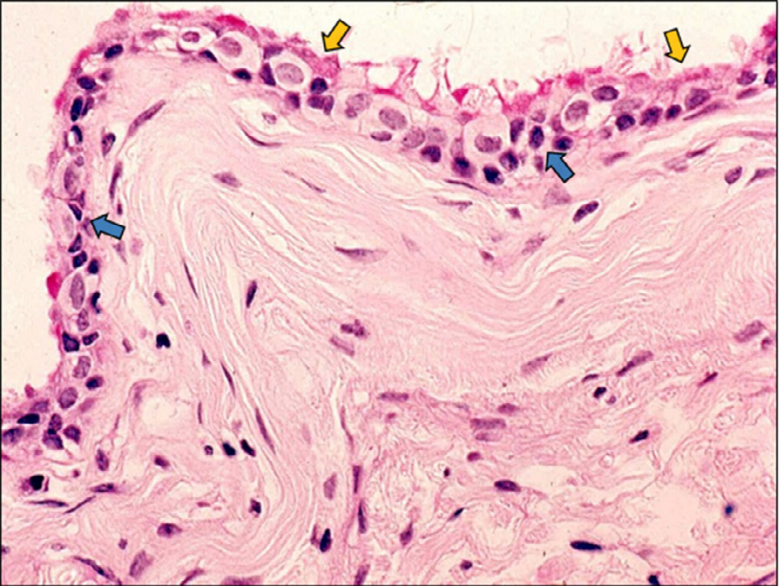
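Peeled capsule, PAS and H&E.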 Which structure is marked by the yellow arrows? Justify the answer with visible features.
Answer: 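Mucoid material. Magenta-staining material lies along the luminal surface of the lining. Pale wispy material extends from the surface.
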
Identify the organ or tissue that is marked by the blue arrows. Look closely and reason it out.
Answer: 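A thin epithelial layer lines the surface above loose fibrous tissue. Nuclei sit at several different heights within the layer. Fine hair-like projections rise from the free surface.
Answer: pseudostratified ciliated epithelium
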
